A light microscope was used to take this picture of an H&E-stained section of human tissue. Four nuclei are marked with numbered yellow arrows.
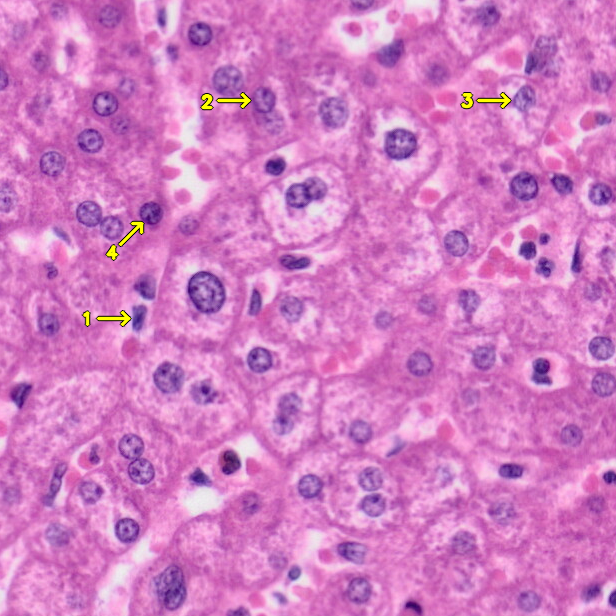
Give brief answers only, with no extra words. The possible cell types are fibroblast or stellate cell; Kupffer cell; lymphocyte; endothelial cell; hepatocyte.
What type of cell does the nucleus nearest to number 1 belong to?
endothelial cell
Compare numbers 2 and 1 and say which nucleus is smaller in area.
1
